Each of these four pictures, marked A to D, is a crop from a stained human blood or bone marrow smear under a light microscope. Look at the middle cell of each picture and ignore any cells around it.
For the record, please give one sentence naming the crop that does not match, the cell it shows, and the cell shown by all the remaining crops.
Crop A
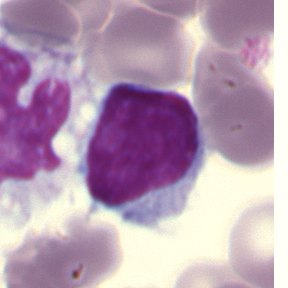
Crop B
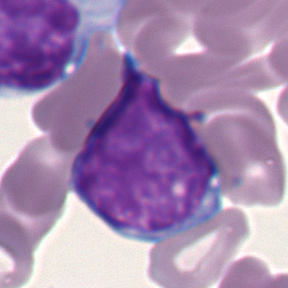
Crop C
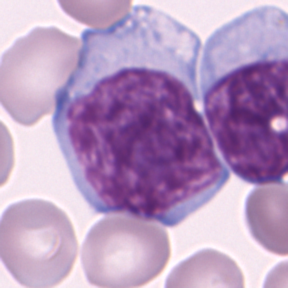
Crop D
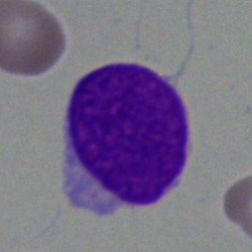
Crop A breaks the pattern as a lymphocyte; the other crops all contain blasts.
